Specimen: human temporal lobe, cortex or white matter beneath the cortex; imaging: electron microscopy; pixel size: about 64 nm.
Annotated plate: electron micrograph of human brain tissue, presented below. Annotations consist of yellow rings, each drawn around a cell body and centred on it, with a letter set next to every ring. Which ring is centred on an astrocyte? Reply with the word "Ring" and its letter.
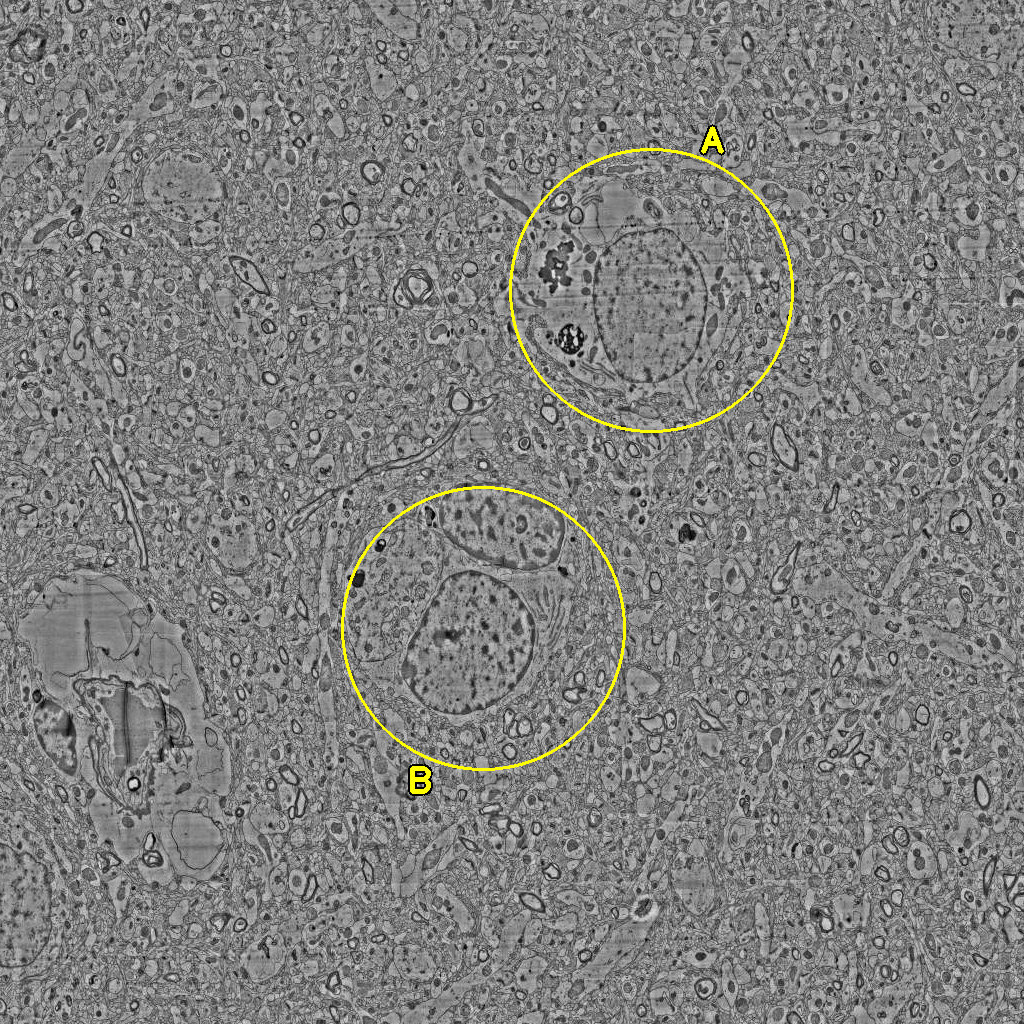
Ring A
